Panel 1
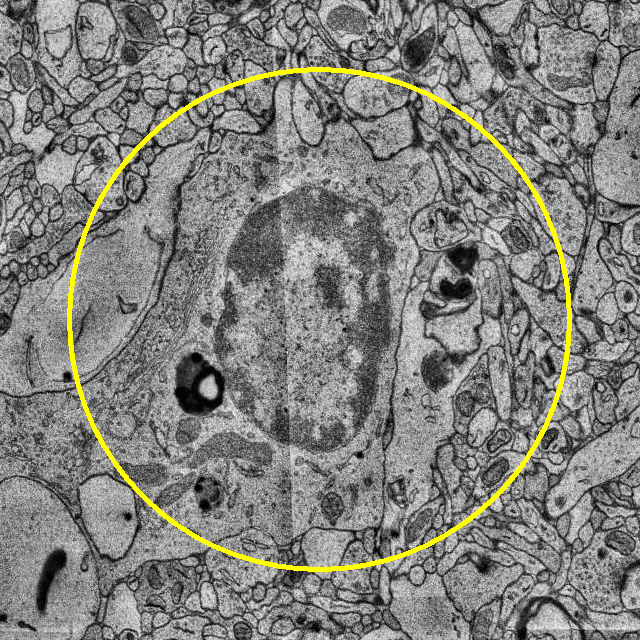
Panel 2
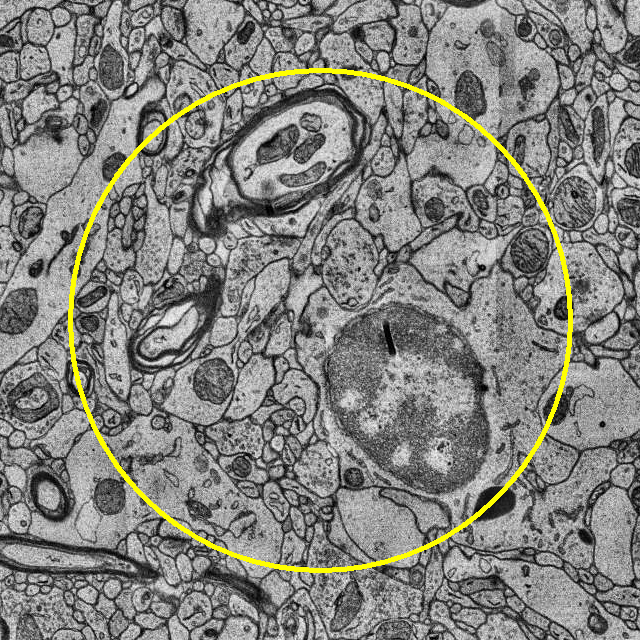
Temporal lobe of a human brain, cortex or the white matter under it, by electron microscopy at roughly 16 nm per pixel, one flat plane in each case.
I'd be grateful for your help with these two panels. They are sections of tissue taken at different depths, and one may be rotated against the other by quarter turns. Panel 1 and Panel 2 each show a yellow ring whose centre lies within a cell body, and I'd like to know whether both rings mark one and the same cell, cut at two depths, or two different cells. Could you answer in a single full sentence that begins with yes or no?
No, one ring and the other ring mark two distinct cells.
